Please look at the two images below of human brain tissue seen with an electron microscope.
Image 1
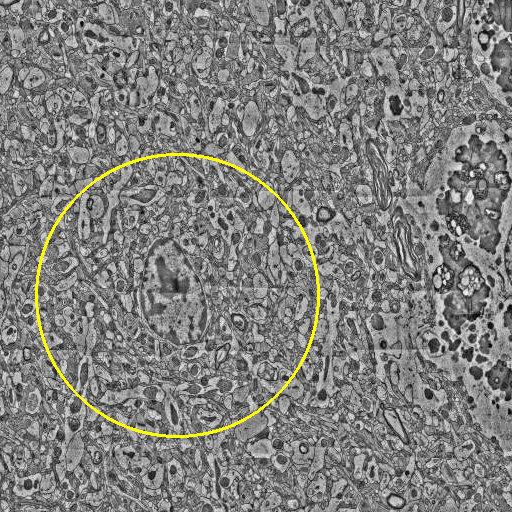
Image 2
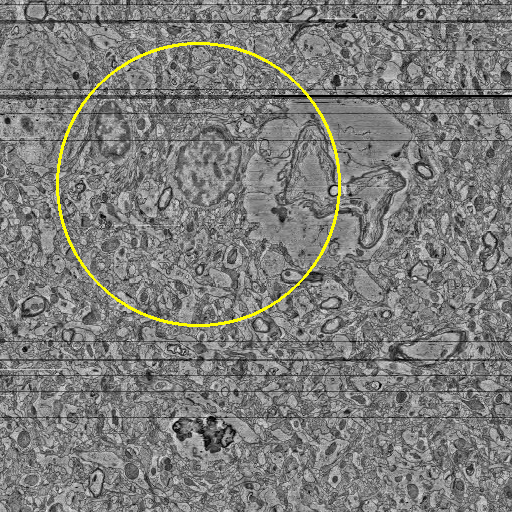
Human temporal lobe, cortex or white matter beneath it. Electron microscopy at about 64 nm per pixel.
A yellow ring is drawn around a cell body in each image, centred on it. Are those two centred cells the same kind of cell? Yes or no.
no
